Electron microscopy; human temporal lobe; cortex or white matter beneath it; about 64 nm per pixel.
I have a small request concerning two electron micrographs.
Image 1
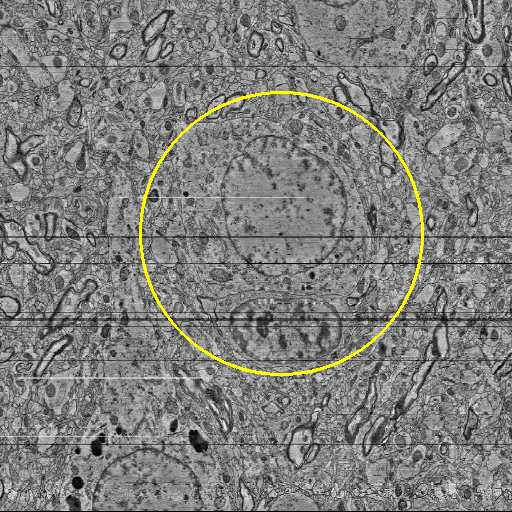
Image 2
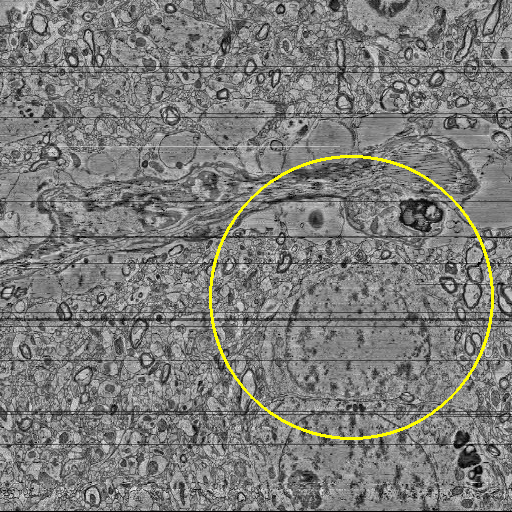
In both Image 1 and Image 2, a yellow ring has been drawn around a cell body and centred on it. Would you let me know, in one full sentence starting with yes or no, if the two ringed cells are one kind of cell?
No, the cells ringed in Image 1 and Image 2 are two kinds of cell.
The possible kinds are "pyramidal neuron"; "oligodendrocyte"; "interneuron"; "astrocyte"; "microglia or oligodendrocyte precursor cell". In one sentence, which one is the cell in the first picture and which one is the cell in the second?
The cell ringed in the second picture is an interneuron, whereas the one ringed in the first is a pyramidal neuron.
